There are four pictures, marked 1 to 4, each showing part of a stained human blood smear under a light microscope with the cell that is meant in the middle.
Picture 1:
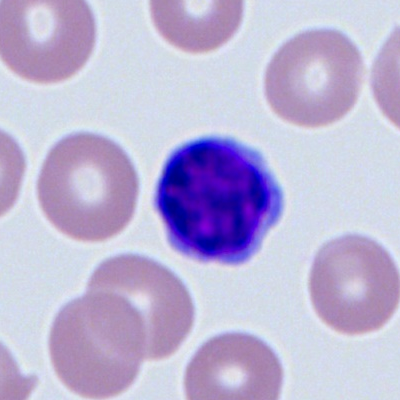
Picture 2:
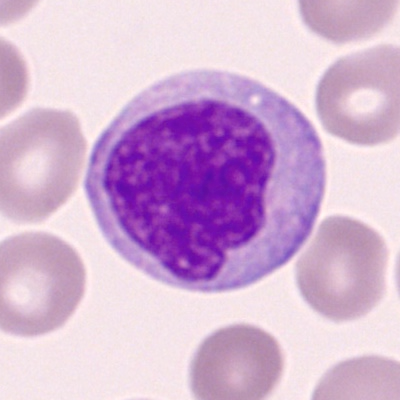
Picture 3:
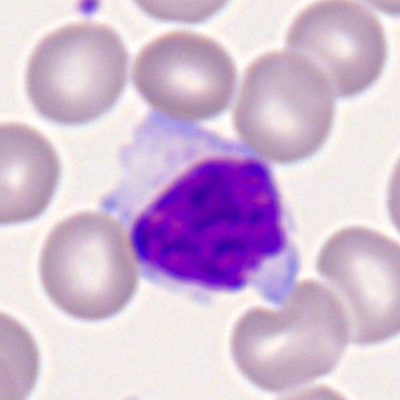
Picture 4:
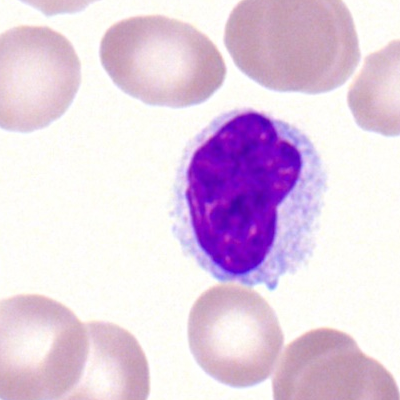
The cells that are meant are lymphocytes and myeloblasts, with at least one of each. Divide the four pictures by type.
1: lymphocyte
2: myeloblast
3: lymphocyte
4: lymphocyte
